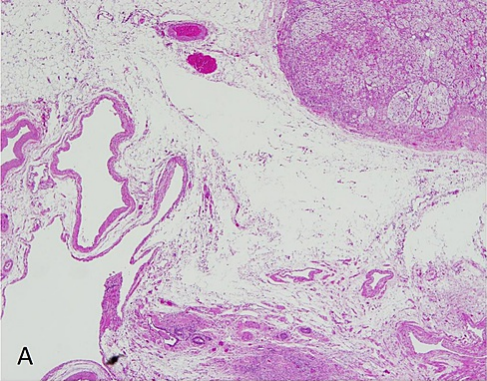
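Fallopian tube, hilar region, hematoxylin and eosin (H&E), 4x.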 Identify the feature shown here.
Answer: Well-circumscribed nodule of adrenal cortical tissue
